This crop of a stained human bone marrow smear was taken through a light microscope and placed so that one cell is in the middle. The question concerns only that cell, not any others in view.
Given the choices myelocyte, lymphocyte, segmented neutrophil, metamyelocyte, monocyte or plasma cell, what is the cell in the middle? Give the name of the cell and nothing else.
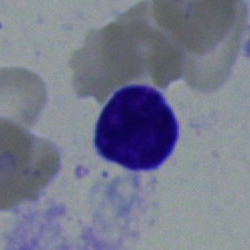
lymphocyte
